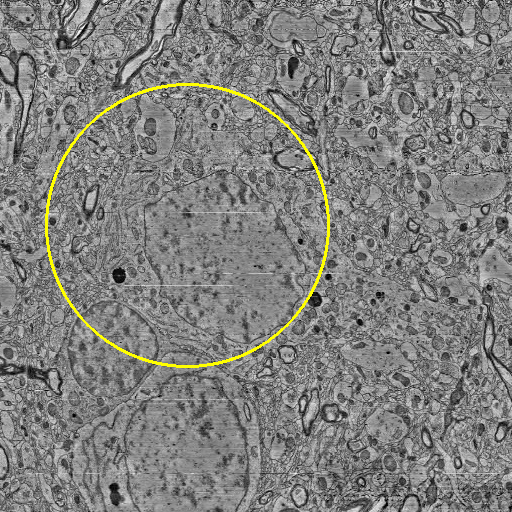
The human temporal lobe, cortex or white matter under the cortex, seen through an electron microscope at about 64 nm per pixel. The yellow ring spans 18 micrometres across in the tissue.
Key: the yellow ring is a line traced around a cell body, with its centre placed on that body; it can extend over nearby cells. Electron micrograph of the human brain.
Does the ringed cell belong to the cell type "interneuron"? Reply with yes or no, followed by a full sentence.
Yes, the cell at the centre of the yellow ring in the picture is of that type.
